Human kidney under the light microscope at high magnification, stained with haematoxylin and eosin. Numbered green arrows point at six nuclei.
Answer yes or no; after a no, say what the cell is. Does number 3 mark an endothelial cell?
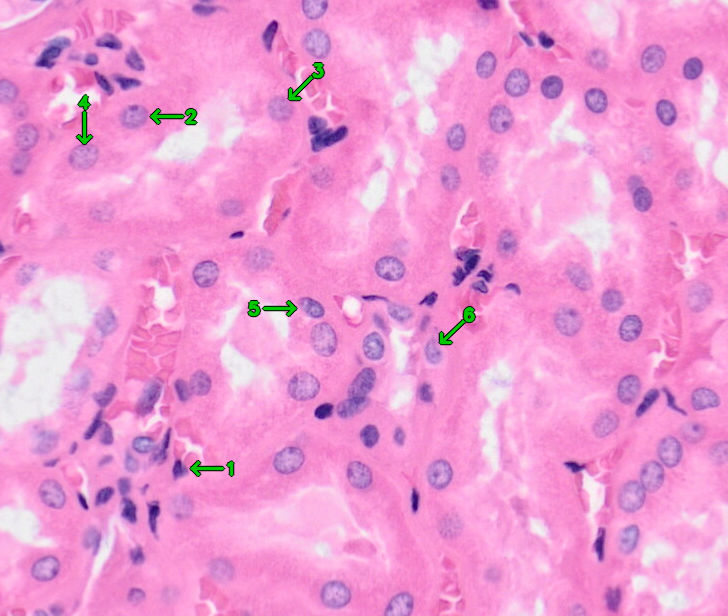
No, it is a proximal tubule cell.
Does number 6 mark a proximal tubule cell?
No, it is a collecting duct cell.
